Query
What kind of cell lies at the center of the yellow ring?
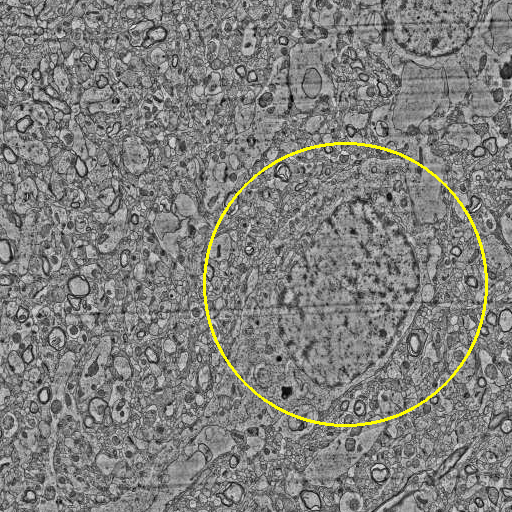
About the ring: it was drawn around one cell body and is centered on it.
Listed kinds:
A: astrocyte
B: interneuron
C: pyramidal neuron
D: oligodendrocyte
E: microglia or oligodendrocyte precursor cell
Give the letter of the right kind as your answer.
B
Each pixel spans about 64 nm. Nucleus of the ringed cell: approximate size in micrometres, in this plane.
The nucleus is approximately 12 micrometers long by 9 micrometers wide in this plane.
